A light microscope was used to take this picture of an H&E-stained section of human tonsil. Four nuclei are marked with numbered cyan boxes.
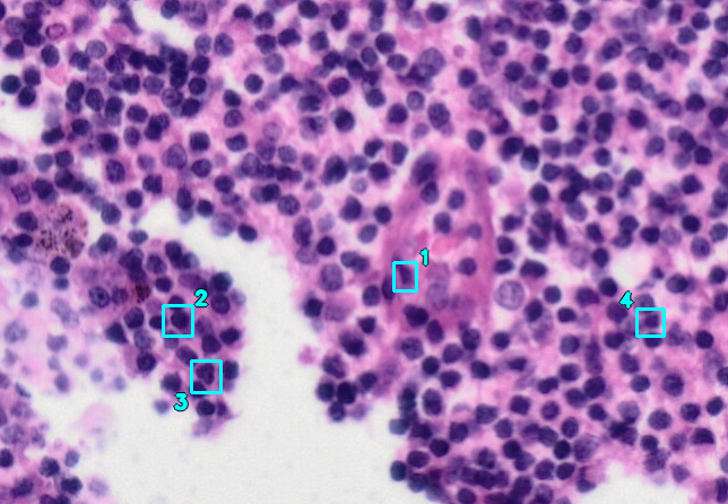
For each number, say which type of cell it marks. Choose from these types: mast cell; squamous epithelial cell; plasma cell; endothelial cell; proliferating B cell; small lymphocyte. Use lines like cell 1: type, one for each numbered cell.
cell 1: endothelial cell
cell 2: small lymphocyte
cell 3: small lymphocyte
cell 4: small lymphocyte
